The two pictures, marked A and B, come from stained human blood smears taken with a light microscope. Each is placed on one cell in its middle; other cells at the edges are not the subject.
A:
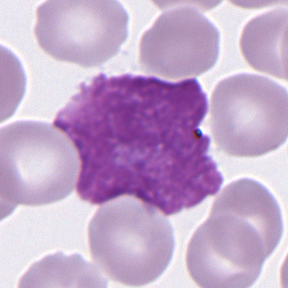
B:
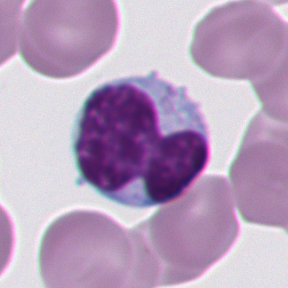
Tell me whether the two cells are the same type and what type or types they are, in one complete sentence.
No, in crop A there is a smudge cell, and in crop B there is a typical lymphocyte.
